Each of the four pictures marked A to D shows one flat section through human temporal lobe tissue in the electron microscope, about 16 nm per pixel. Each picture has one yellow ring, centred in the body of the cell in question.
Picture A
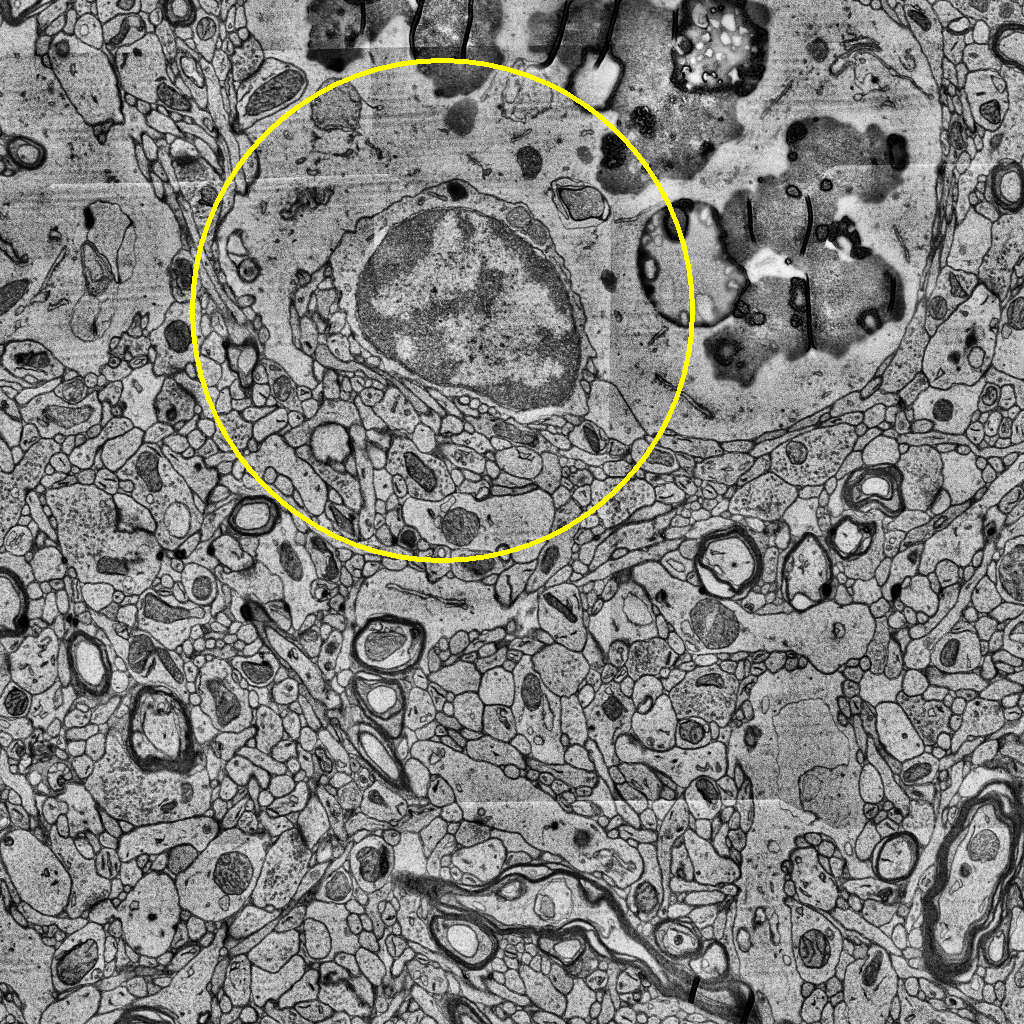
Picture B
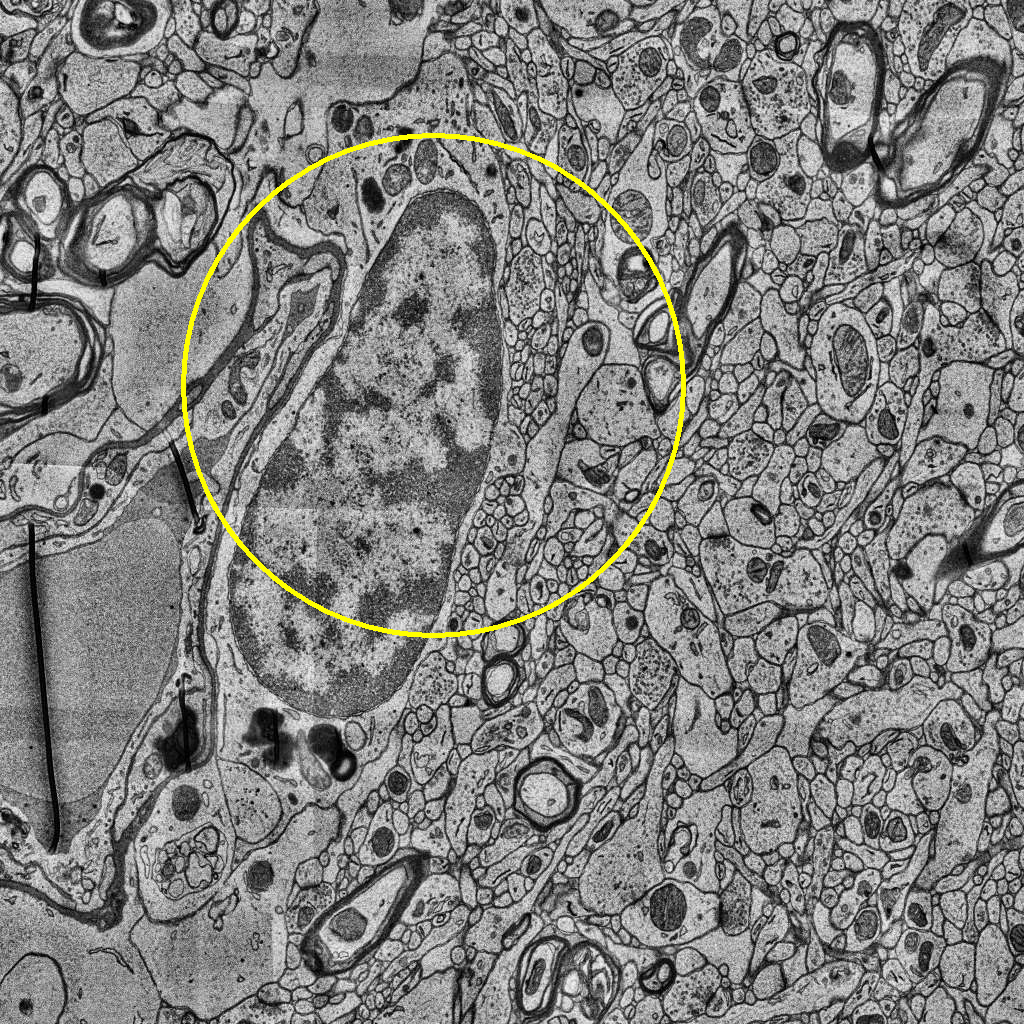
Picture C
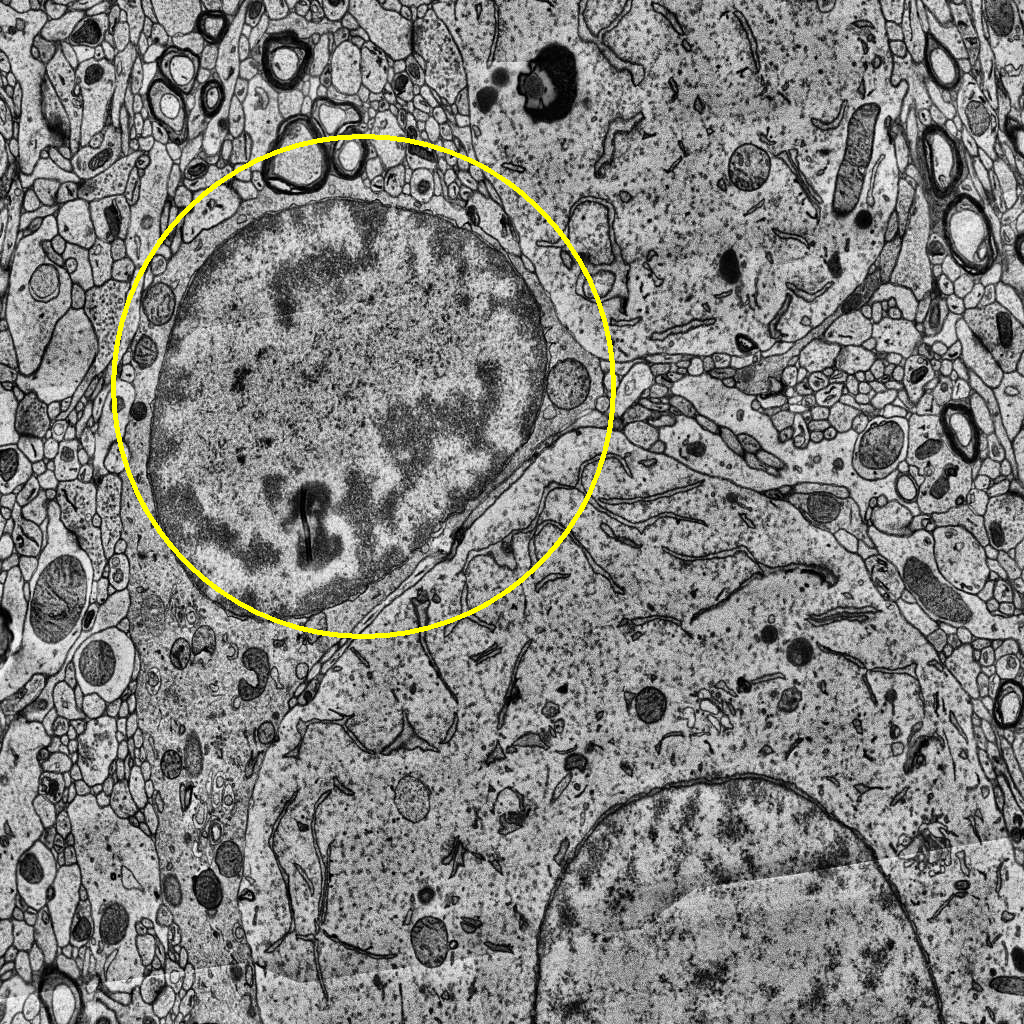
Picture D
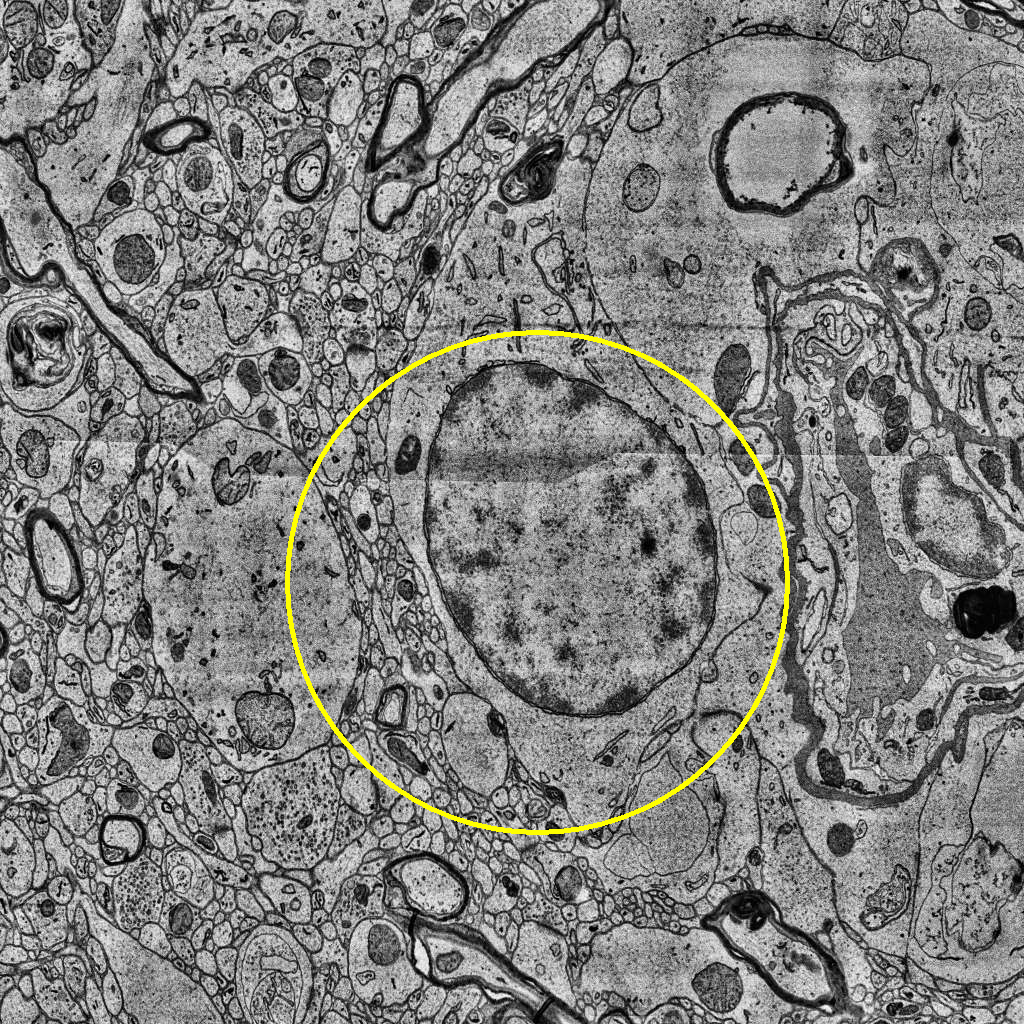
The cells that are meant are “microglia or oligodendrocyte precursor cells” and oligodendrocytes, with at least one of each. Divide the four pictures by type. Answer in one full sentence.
Pictures A, B and D show “microglia or oligodendrocyte precursor cells”, while picture C shows an oligodendrocyte.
